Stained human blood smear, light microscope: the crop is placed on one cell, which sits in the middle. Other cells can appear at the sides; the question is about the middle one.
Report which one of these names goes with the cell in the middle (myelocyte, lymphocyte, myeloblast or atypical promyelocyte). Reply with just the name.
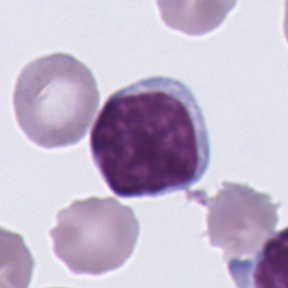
lymphocyte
